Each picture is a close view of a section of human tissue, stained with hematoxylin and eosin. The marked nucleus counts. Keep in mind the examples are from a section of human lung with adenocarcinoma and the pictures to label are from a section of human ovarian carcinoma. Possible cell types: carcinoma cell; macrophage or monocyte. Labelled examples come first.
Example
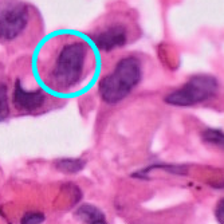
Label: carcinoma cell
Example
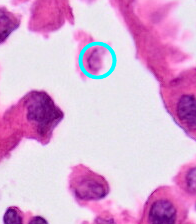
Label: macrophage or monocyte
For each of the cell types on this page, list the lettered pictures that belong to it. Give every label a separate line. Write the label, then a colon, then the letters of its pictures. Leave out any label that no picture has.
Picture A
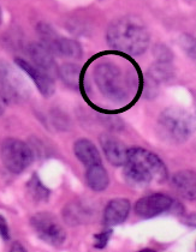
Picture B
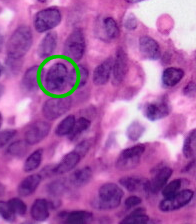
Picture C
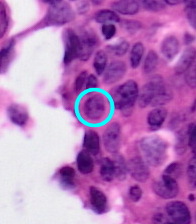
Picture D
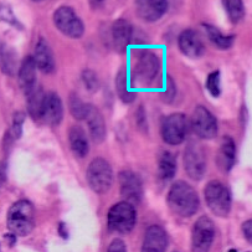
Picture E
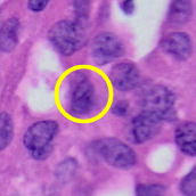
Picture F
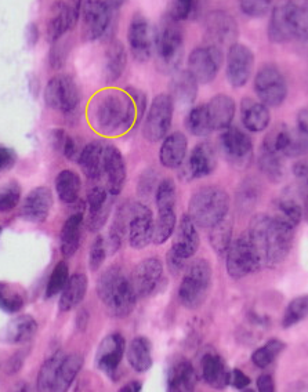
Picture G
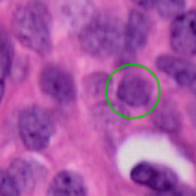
carcinoma cell: A, B, C, D, E, F, G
